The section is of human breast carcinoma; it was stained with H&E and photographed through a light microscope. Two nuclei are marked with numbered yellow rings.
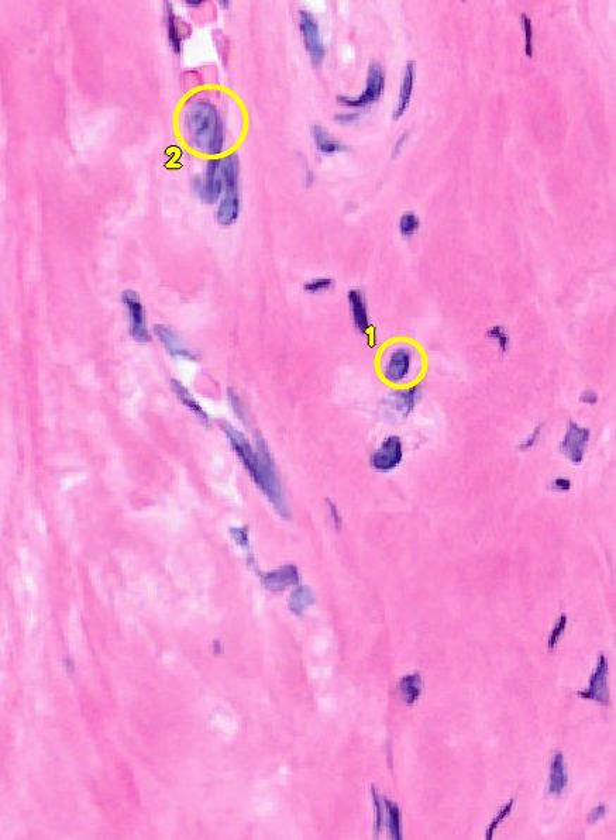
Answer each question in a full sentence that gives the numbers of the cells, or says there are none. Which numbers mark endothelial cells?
Cell 2 is an endothelial cell, whereas each of the other numbered cells is not.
